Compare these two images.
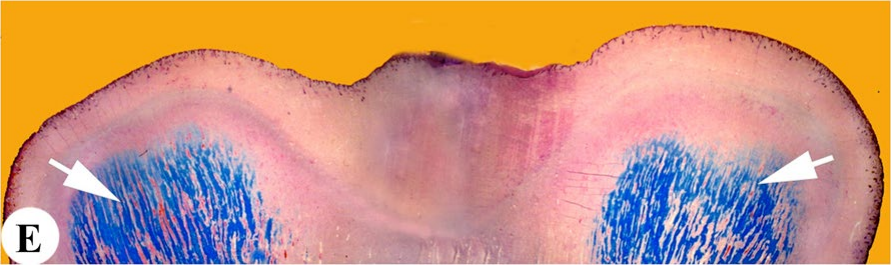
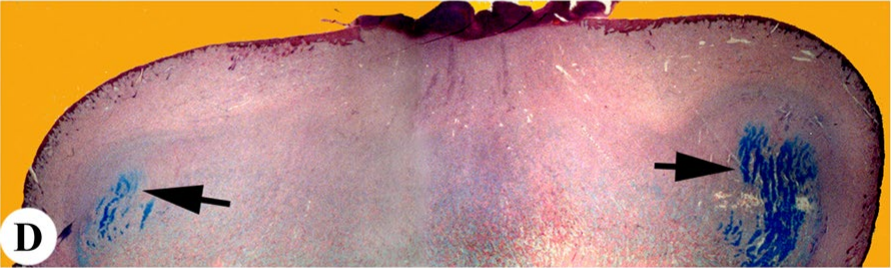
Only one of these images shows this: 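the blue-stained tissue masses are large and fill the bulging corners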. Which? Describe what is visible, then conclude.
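The first image. First image: broad blue-stained columnar masses fill both lateral bulges of the section. Second image: the blue-stained areas at the two corners are small and patchy.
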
